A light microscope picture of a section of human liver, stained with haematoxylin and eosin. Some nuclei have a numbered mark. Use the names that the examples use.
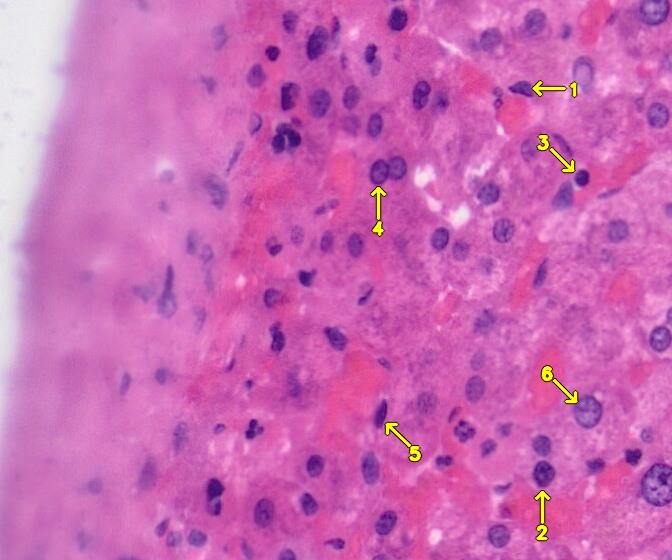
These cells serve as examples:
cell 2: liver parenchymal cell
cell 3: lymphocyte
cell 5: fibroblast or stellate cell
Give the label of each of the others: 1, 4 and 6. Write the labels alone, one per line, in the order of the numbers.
fibroblast or stellate cell
liver parenchymal cell
liver parenchymal cell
